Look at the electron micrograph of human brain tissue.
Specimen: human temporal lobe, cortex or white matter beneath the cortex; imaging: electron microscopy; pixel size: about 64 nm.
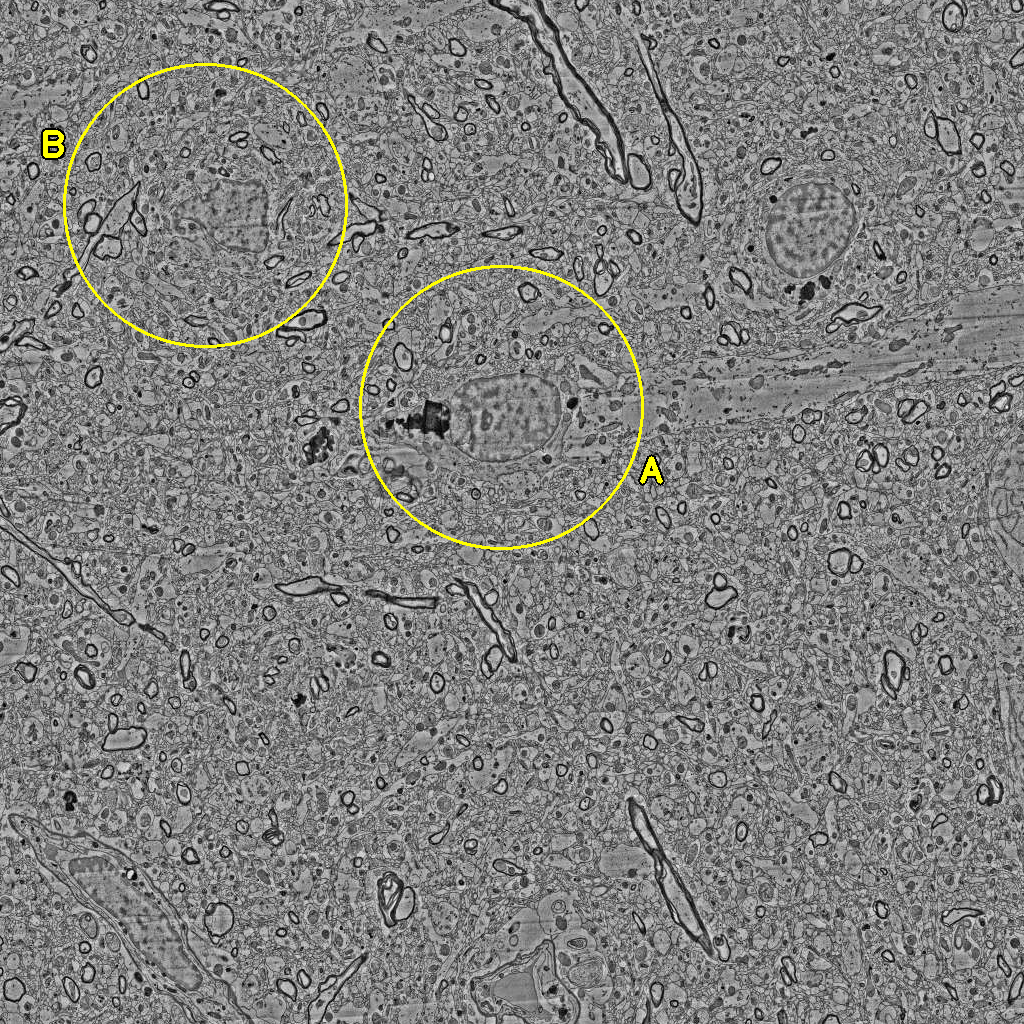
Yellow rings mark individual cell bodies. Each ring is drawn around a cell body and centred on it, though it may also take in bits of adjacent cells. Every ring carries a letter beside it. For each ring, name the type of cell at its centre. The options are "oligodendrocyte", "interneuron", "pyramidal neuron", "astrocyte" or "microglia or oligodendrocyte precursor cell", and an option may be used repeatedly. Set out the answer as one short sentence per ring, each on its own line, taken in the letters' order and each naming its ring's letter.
Ring A is drawn around an oligodendrocyte.
Ring B is drawn around a microglial cell or oligodendrocyte precursor cell.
